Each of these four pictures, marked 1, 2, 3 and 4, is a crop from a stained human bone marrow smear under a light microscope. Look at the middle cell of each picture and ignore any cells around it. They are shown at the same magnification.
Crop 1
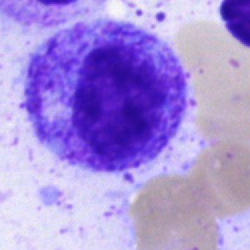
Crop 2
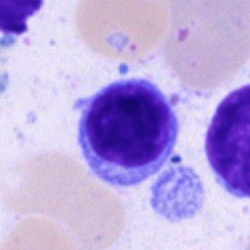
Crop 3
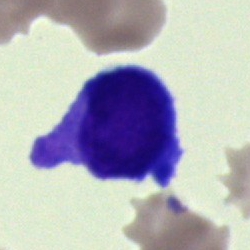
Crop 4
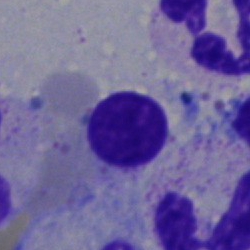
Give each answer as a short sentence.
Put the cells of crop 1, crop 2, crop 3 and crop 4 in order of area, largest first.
The order is 1, 3, 2, 4, beginning with the largest.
